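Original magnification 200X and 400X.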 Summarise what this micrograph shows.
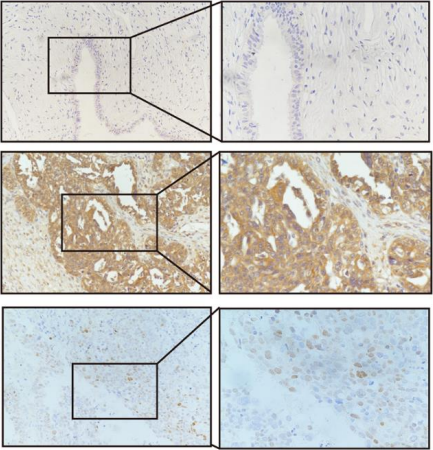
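The top pair of images shows pale tissue with loosely arranged spindle-shaped stromal cells and a thin lining layer along a narrow cleft, with only blue counterstained nuclei and almost no brown. The middle pair shows crowded epithelial cells forming irregular gland-like and papillary clusters, whose cytoplasm is diffusely stained brown, set against a paler stroma. In the enlarged view of the middle pair, the tumor cells have enlarged, crowded nuclei and lie in disorganized sheets rather than an orderly lining. The bottom pair shows a mostly blue, densely cellular tissue in which only scattered cells carry brown stain, several of them in the nuclei. So the brown stain is strongest in the tumor epithelium of the middle pair, weak and patchy in the bottom pair, and nearly absent from the top pair.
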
